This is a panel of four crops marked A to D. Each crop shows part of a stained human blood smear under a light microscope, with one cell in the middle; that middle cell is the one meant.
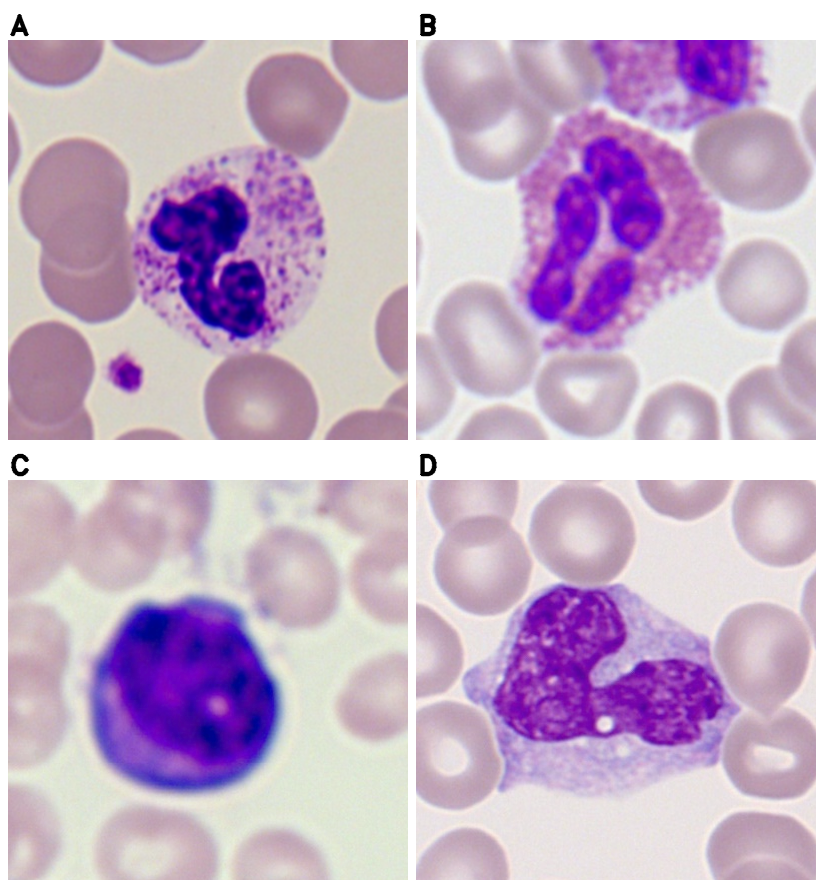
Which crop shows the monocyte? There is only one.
D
